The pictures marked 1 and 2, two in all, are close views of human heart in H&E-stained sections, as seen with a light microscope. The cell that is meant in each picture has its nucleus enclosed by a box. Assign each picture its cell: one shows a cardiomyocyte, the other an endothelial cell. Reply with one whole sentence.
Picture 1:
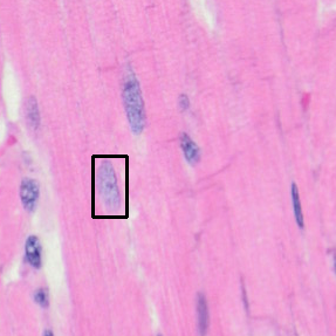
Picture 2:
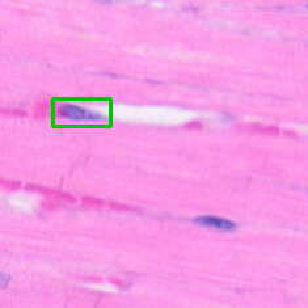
It is picture 1 that shows a cardiomyocyte, and picture 2 that shows an endothelial cell.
